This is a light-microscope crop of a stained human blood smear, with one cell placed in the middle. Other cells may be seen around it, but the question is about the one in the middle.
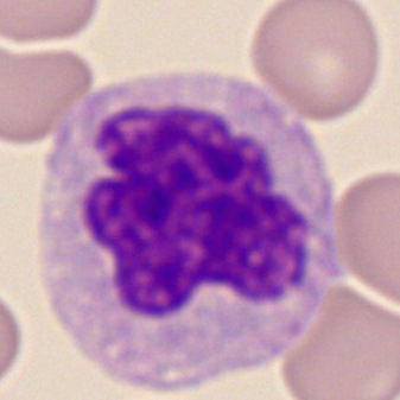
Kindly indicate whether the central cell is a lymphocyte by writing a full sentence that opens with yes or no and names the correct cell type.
No, what sits in the centre of the crop is a monocyte rather than a lymphocyte.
